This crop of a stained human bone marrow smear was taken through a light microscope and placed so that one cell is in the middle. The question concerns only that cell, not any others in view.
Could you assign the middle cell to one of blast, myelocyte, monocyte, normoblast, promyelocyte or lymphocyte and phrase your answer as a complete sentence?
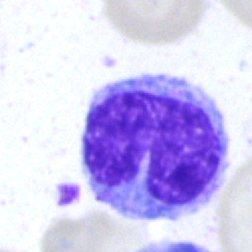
As for the cell in the middle, it is a monocyte.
